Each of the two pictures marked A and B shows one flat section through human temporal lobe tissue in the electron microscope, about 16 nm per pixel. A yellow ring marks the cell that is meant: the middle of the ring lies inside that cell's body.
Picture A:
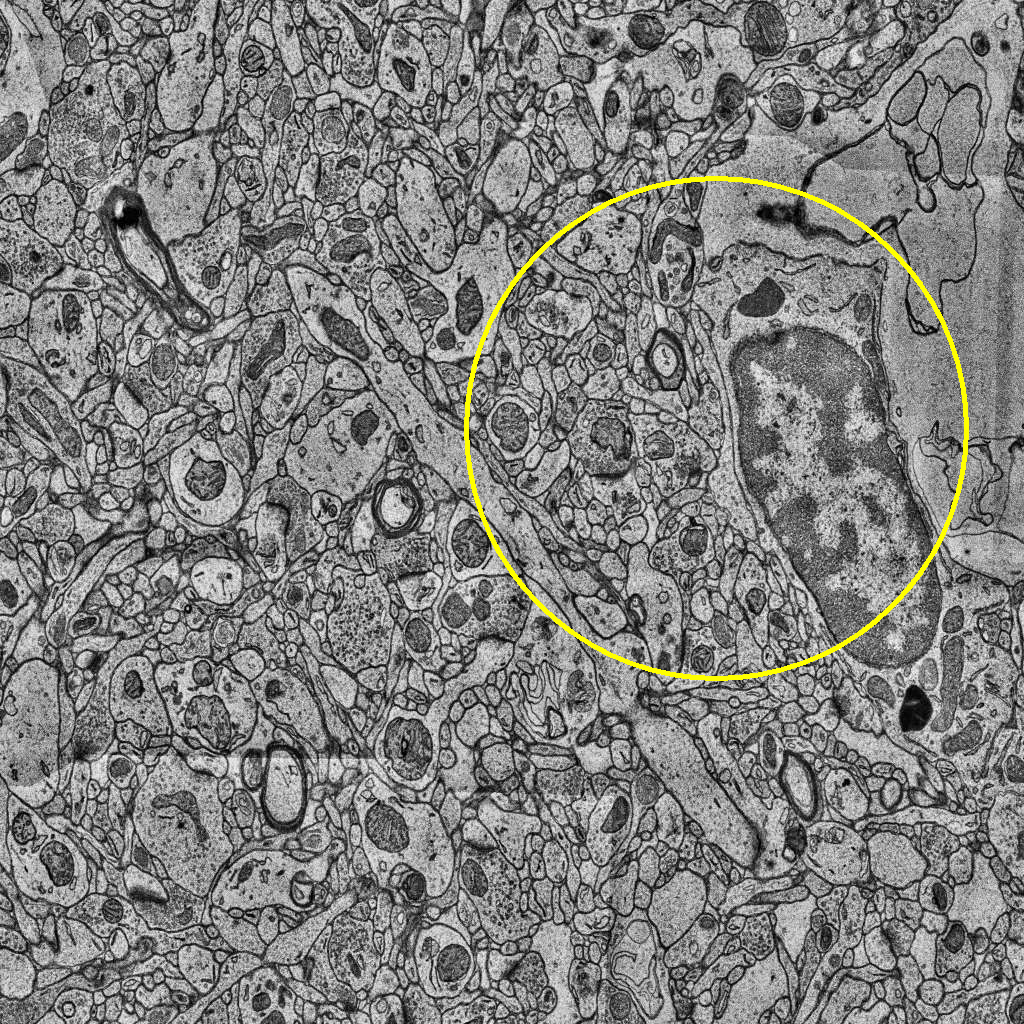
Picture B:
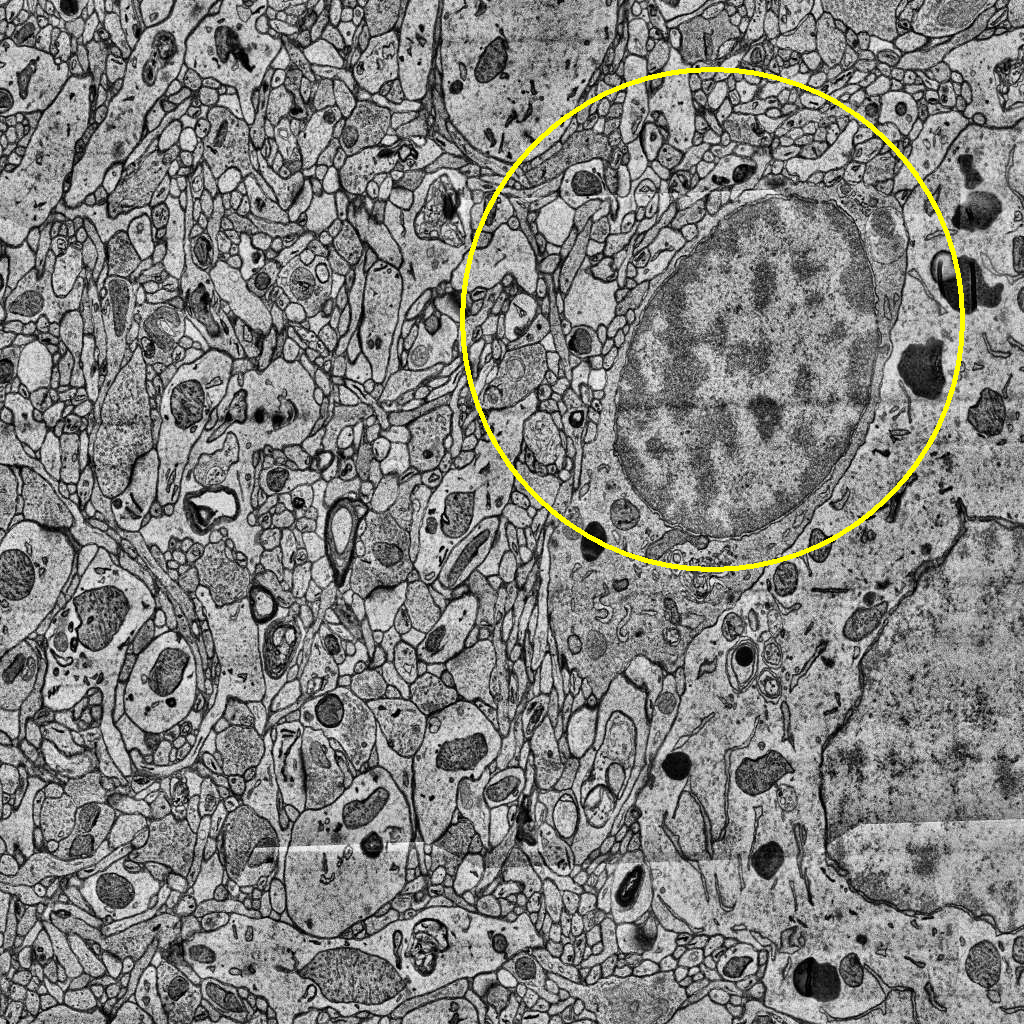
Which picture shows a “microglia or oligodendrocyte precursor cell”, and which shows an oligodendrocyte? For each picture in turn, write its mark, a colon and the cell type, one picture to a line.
A: microglia or oligodendrocyte precursor cell
B: oligodendrocyte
